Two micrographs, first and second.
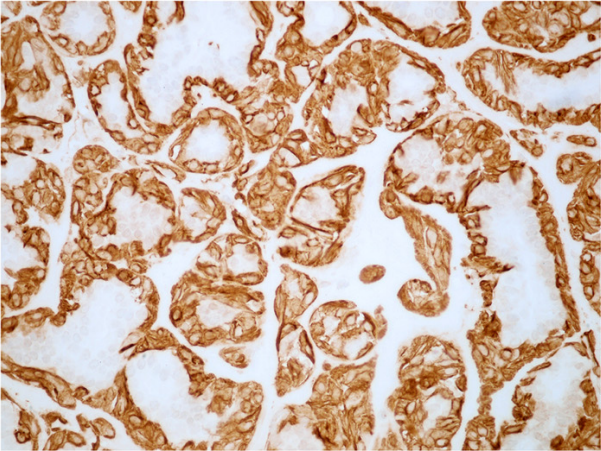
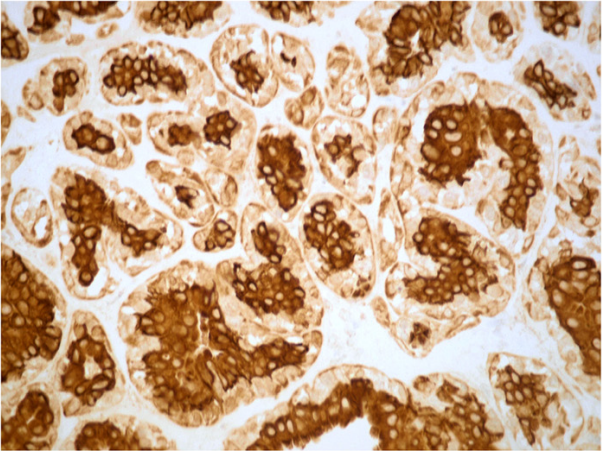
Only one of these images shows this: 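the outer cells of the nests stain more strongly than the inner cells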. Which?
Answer: The first image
